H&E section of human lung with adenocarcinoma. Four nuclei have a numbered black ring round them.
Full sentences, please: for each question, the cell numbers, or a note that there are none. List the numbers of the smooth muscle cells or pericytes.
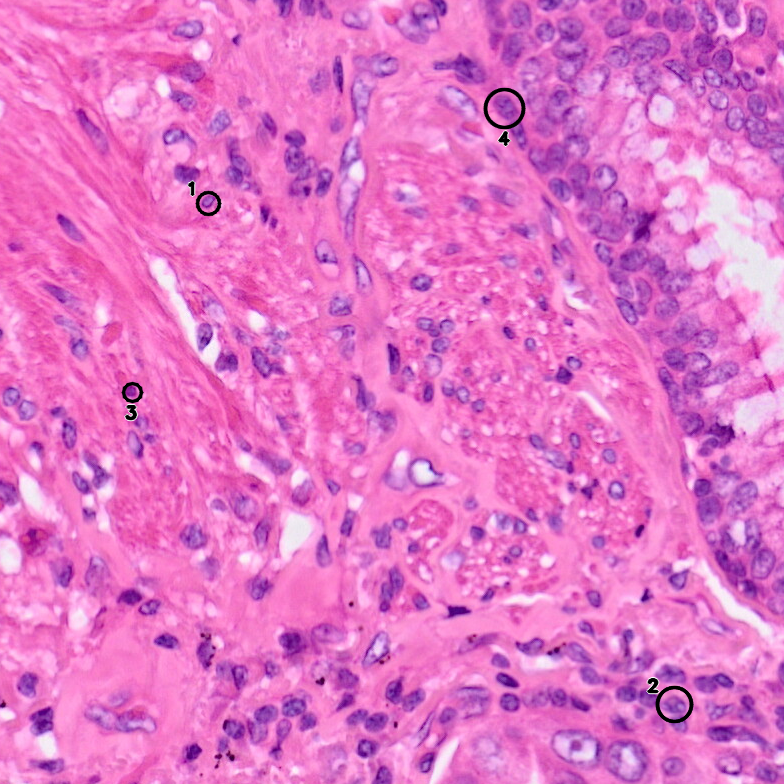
The cells with numbers 1 and 3 are smooth muscle cells or pericytes by type.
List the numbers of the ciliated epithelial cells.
Among the cells marked with numbers, the only one that is a ciliated epithelial cell is number 4.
